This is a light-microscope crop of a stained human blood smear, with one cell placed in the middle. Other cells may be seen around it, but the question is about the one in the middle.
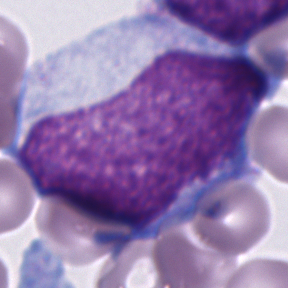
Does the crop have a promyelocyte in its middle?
yes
